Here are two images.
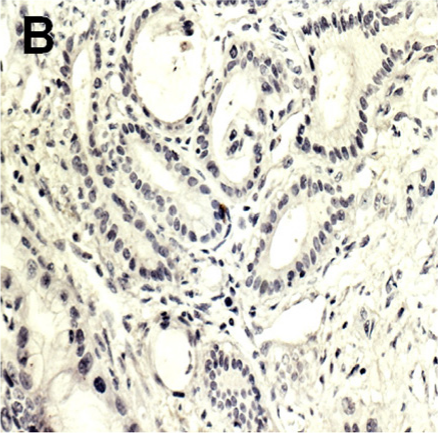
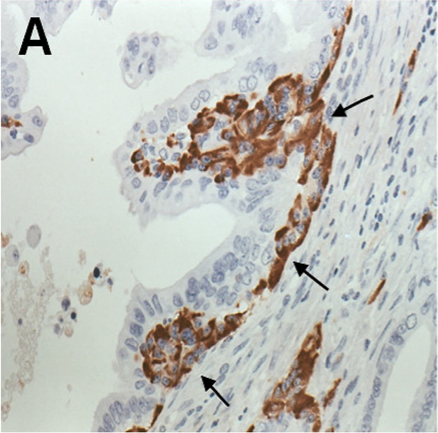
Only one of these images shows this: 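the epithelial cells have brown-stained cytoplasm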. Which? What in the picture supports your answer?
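First image: the glandular epithelium shows only blue nuclei with pale cytoplasm and no brown stain. Second image: clusters of epithelial cells at the base of the lining have dense brown cytoplasm.
The second image.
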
